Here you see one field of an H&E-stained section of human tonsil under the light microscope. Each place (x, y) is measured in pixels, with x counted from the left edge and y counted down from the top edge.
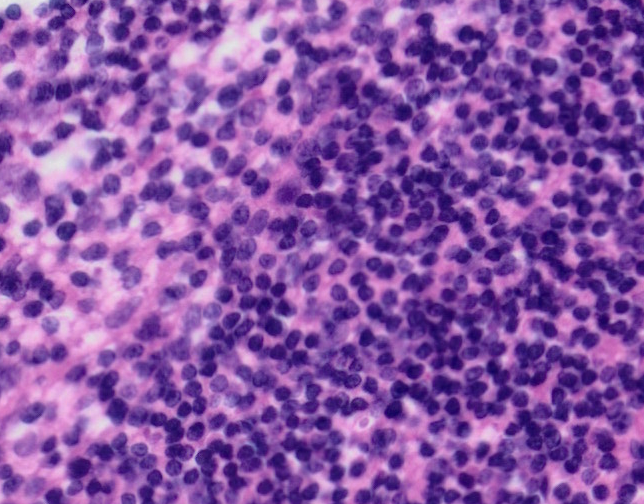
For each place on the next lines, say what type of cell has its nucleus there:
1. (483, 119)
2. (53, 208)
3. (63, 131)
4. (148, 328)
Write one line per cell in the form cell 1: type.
cell 1: small lymphocyte
cell 2: proliferating B cell
cell 3: proliferating B cell
cell 4: proliferating B cell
